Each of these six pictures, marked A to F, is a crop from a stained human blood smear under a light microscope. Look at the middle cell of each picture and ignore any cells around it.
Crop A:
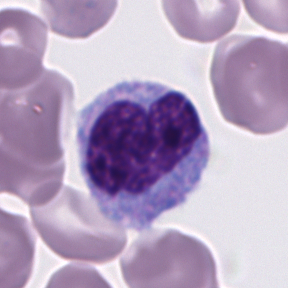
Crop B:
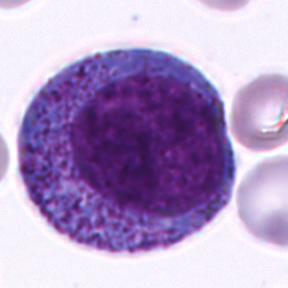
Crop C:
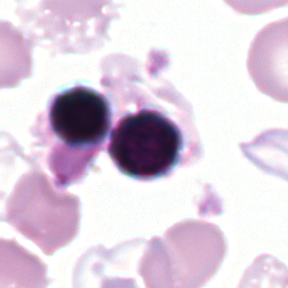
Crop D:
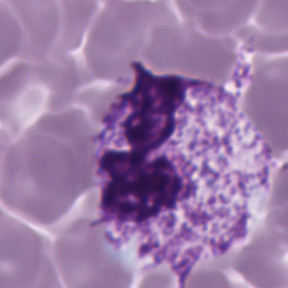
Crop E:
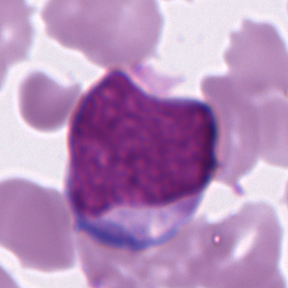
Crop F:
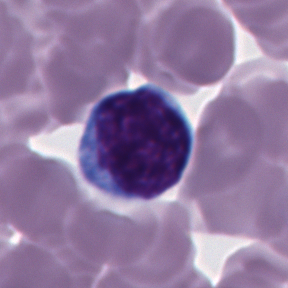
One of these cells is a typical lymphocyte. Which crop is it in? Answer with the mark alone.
F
